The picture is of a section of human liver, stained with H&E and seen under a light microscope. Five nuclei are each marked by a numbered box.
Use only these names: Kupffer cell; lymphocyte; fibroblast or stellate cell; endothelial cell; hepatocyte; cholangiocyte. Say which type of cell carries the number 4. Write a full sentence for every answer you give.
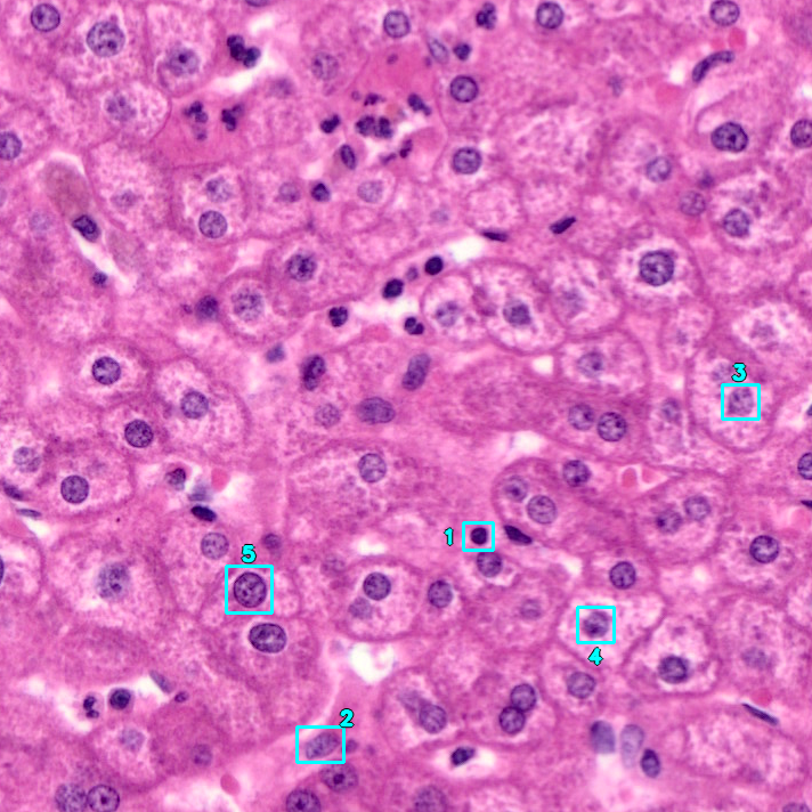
The cell marked with number 4 is a hepatocyte.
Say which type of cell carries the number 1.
The cell referenced by the number 1 is a lymphocyte in this field.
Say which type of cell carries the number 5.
The cell tagged with 5 in this tissue section is a hepatocyte.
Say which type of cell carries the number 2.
The cell referenced by the number 2 is a Kupffer cell in this field.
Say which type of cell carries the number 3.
Cell 3 in the field of view is a hepatocyte.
